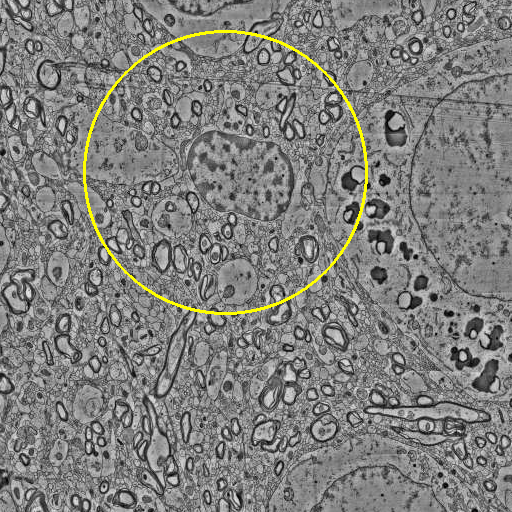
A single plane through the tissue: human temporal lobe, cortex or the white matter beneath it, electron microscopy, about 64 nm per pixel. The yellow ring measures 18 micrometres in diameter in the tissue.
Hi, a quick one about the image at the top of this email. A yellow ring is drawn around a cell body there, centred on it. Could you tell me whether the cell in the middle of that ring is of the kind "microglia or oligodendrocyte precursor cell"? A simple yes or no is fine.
yes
